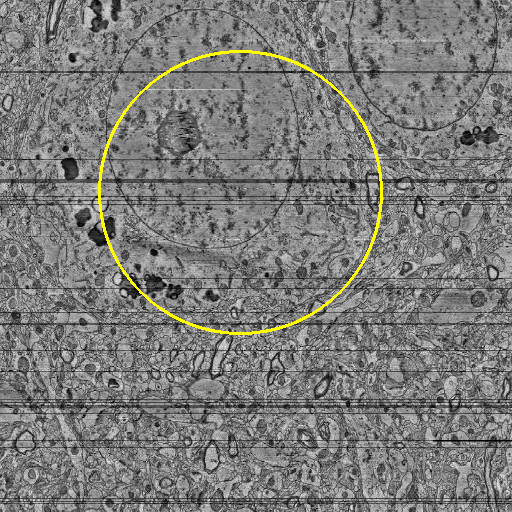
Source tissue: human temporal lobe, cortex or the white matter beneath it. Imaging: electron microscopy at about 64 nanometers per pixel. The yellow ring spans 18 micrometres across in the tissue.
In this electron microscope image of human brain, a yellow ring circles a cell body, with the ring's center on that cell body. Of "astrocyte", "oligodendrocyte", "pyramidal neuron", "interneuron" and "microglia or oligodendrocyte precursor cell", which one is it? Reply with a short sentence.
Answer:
It is a pyramidal neuron at the center of the ring.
